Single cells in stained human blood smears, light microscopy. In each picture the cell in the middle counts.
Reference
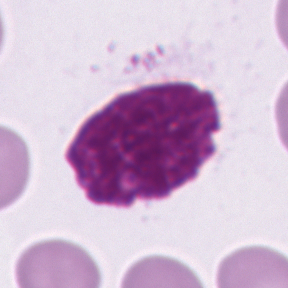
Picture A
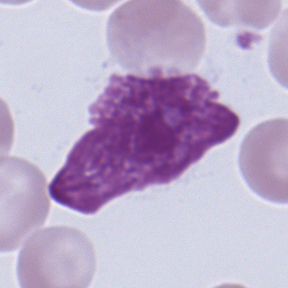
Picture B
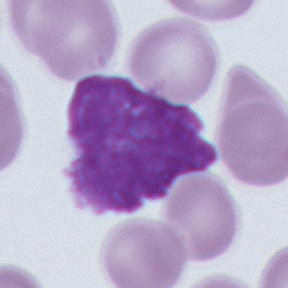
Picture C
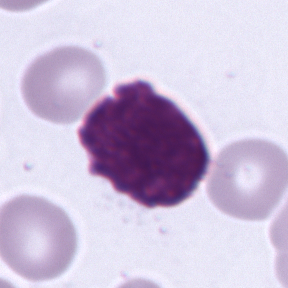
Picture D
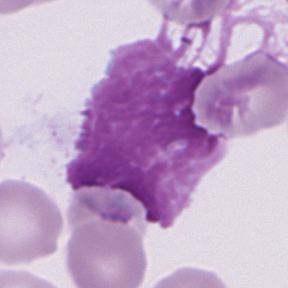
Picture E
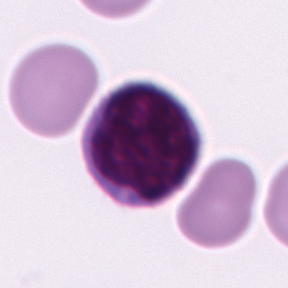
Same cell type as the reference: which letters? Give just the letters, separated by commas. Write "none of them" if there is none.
A, B, C, D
